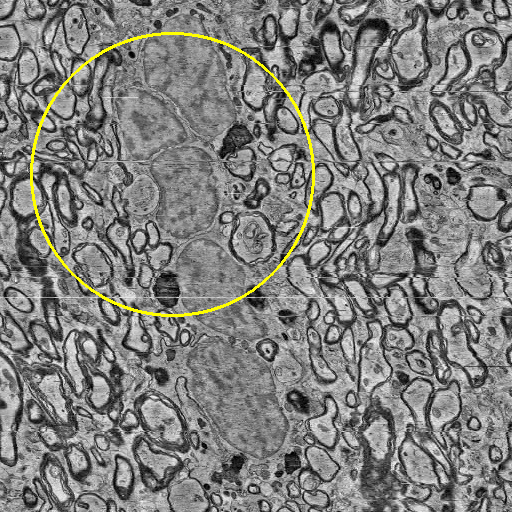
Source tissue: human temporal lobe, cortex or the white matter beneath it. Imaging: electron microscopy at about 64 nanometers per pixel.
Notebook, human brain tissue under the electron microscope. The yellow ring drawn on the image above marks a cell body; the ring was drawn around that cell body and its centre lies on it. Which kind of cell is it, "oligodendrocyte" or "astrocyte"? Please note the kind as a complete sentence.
The marked cell body is that of an oligodendrocyte.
